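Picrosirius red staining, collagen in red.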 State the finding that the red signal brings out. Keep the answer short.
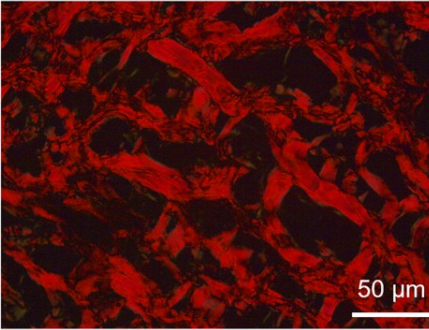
Cross-hatched pattern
